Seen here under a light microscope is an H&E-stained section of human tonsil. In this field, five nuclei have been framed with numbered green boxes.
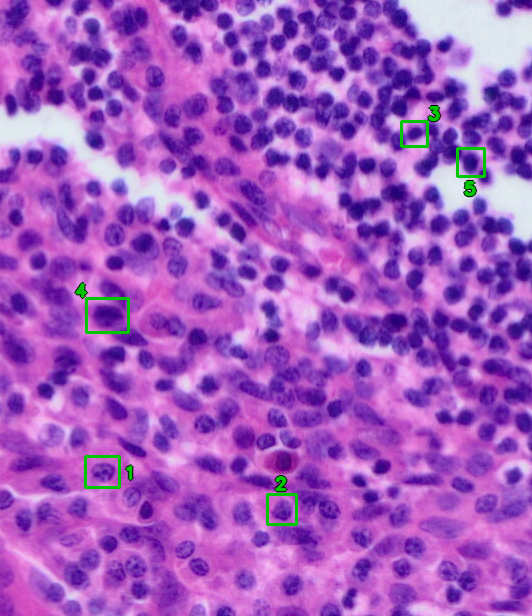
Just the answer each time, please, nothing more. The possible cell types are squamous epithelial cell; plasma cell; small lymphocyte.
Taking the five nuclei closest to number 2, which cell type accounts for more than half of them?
squamous epithelial cell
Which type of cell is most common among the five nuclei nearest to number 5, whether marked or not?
small lymphocyte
